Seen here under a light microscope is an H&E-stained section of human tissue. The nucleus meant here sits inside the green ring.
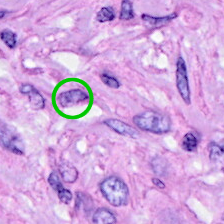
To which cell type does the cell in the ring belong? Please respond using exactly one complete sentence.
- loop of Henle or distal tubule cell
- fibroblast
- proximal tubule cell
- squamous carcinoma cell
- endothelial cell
It is as a fibroblast that the cell in the ring is classified.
